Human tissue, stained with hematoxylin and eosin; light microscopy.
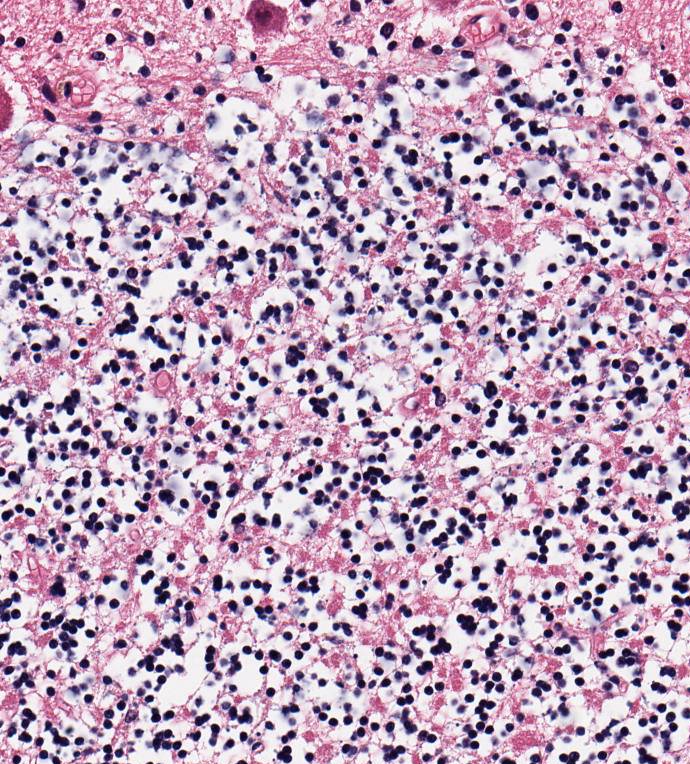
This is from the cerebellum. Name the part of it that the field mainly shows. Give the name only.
granular layer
